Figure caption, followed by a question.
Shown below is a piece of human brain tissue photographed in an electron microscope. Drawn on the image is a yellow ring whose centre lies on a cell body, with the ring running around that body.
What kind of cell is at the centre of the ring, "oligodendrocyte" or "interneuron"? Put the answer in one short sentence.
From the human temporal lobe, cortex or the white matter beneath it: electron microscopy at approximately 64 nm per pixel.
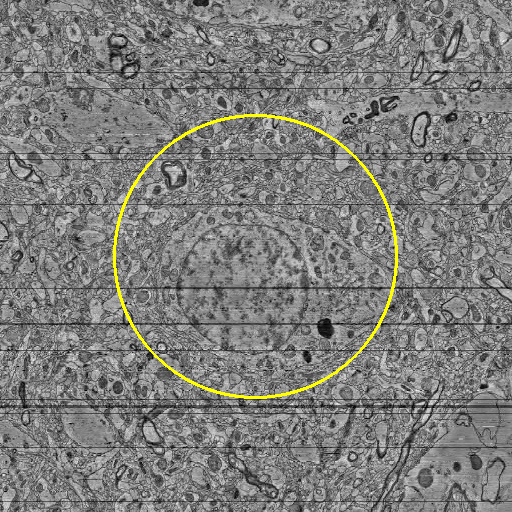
The ring marks the cell body of an interneuron.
